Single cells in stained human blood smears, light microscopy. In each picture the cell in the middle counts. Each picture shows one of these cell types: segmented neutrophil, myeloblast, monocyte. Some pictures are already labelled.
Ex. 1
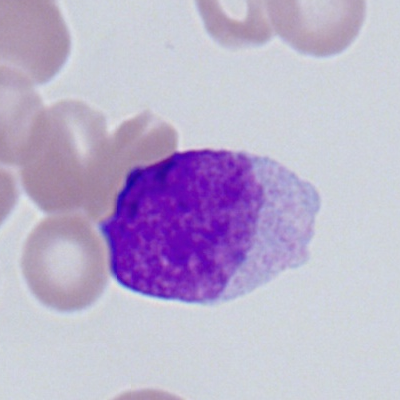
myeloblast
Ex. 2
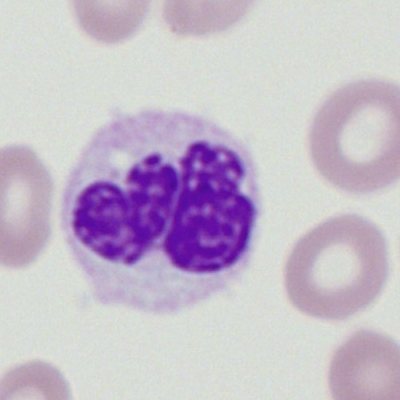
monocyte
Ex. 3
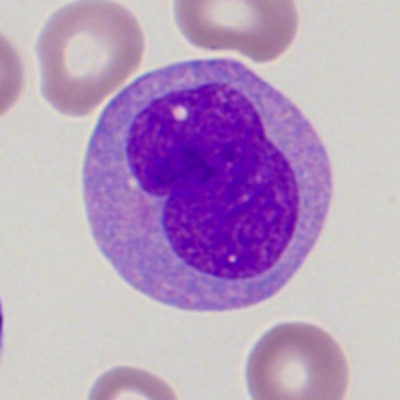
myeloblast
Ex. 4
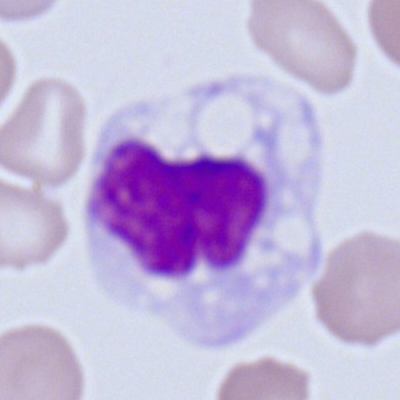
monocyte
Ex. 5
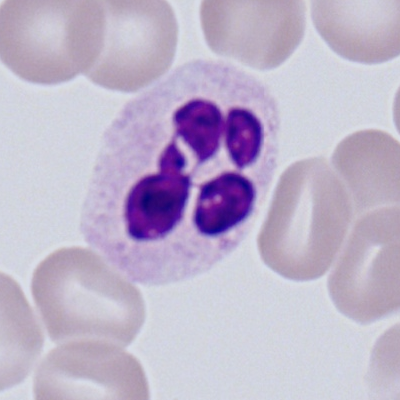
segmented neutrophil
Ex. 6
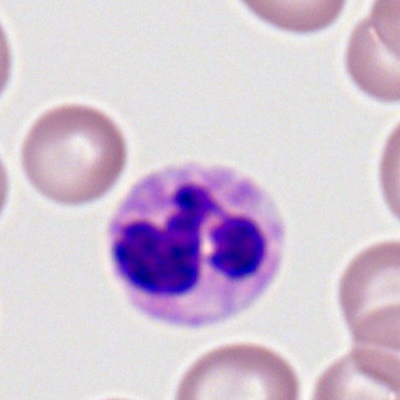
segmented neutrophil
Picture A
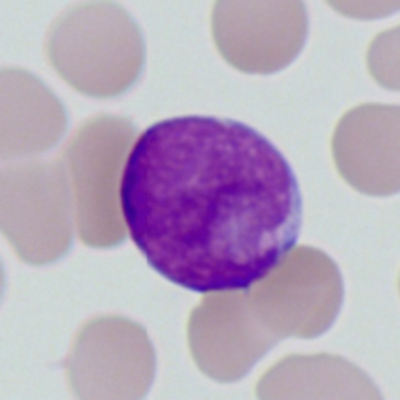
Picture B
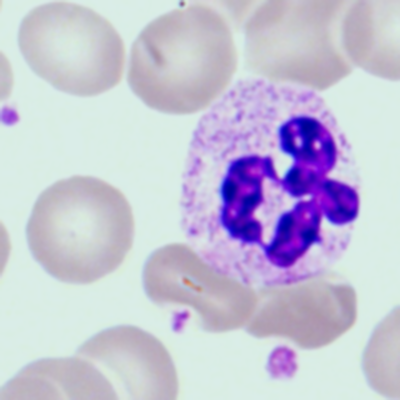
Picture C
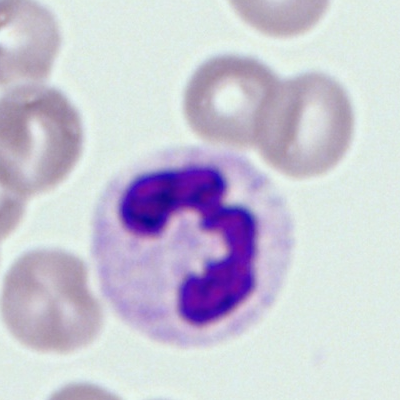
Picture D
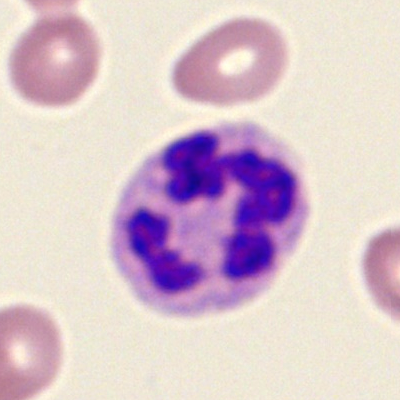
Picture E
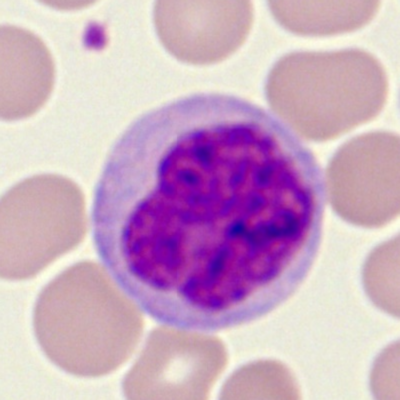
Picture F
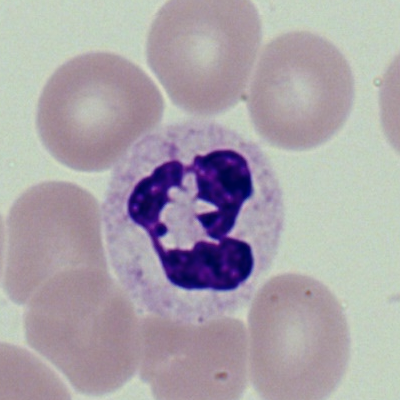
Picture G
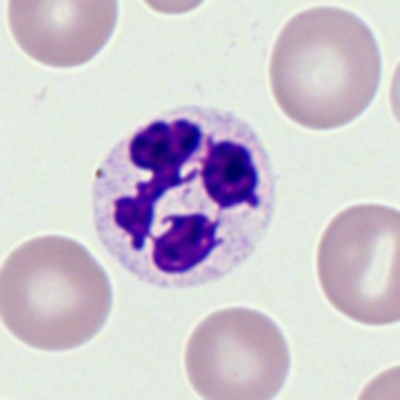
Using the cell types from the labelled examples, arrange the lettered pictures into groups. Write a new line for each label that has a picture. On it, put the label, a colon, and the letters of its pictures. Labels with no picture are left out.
segmented neutrophil: B, C, D, F, G
myeloblast: A
monocyte: E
